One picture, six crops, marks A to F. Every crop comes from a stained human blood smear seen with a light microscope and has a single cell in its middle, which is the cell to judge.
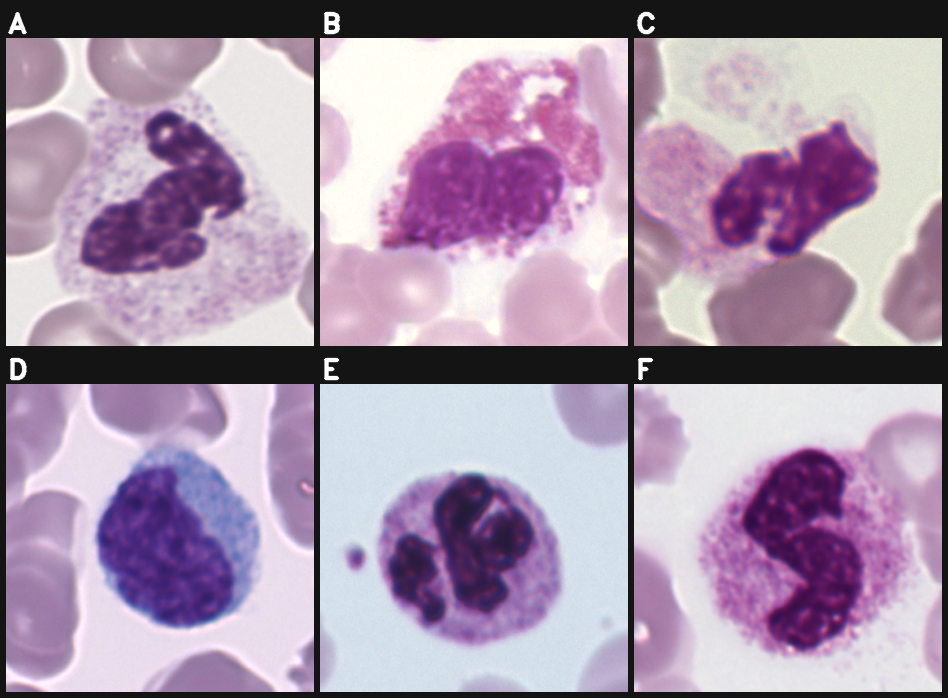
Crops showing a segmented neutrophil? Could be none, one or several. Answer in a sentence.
The crops A, C, E and F are those with segmented neutrophils at the centre.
